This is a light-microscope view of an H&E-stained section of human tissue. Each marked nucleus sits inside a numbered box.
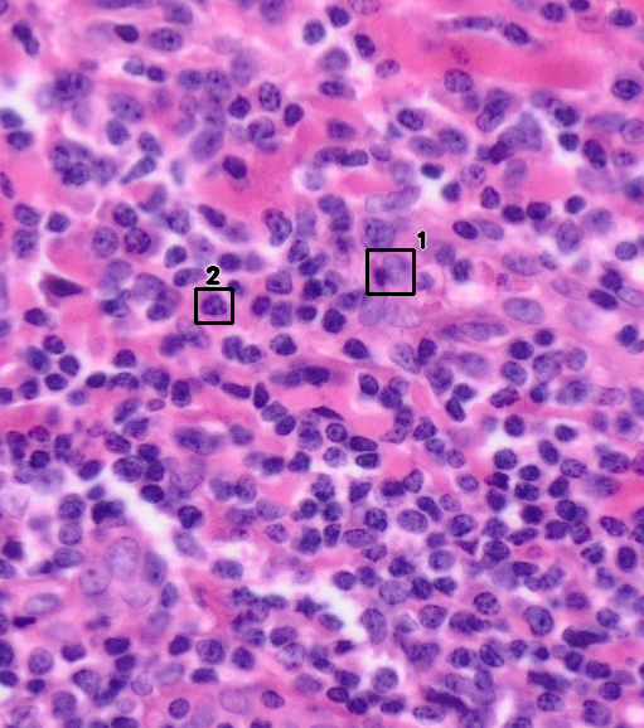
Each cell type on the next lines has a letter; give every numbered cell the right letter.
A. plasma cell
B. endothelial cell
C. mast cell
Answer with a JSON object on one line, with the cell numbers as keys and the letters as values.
{"1": "B", "2": "A"}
